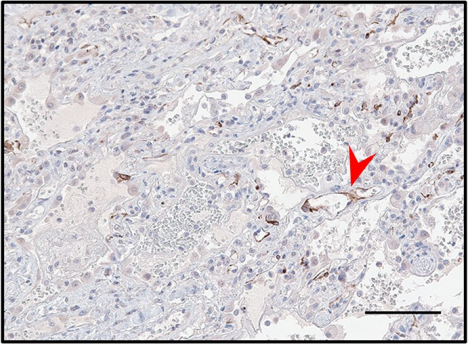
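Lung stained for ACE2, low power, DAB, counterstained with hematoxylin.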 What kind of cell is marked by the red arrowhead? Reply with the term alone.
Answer: endothelial cells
